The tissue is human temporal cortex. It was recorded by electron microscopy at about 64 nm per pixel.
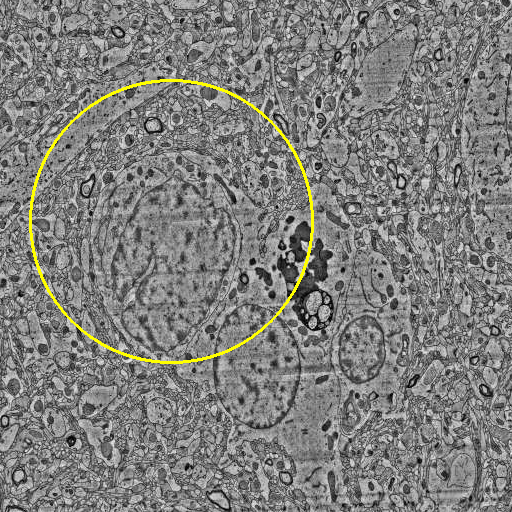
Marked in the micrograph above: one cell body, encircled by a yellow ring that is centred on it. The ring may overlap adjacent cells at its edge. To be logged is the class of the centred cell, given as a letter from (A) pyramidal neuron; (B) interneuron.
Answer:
B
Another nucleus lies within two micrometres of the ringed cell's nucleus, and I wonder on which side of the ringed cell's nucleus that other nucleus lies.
That other nucleus is to the lower right of it.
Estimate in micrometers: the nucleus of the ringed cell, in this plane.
Roughly 11 micrometres by 7 micrometres, in this plane.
